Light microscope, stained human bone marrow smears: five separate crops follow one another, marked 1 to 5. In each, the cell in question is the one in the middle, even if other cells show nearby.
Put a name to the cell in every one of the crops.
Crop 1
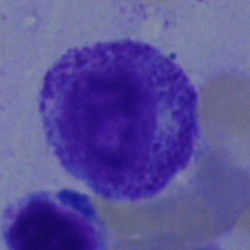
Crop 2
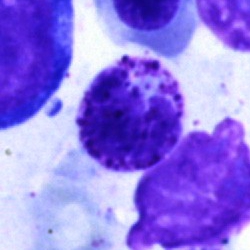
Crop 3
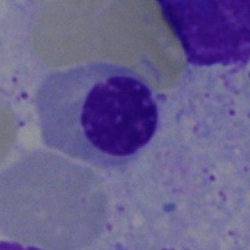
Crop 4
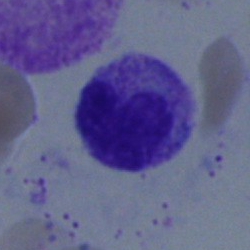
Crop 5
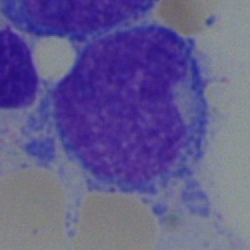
1: myelocyte
2: basophil
3: erythroblast
4: metamyelocyte
5: blast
